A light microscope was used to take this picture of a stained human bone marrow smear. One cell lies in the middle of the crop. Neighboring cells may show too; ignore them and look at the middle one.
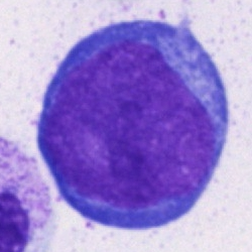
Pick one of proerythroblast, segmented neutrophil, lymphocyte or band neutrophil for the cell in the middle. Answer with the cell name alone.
proerythroblast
